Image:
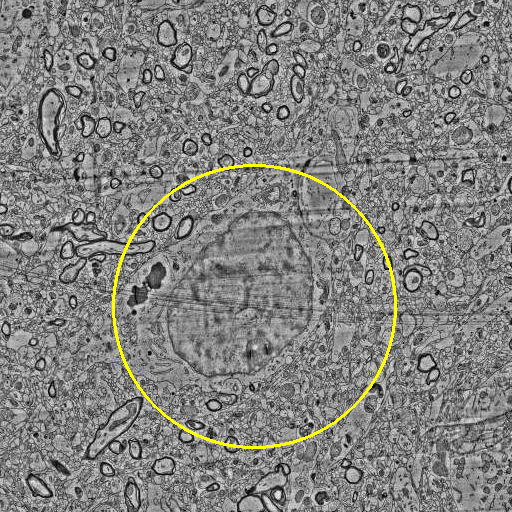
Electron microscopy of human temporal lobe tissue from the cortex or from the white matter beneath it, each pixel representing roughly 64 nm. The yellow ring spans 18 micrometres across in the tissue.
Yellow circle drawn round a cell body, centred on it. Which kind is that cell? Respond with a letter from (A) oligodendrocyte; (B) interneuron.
B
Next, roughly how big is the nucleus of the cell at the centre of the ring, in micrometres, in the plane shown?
In this plane, roughly 11 by 9 micrometres.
